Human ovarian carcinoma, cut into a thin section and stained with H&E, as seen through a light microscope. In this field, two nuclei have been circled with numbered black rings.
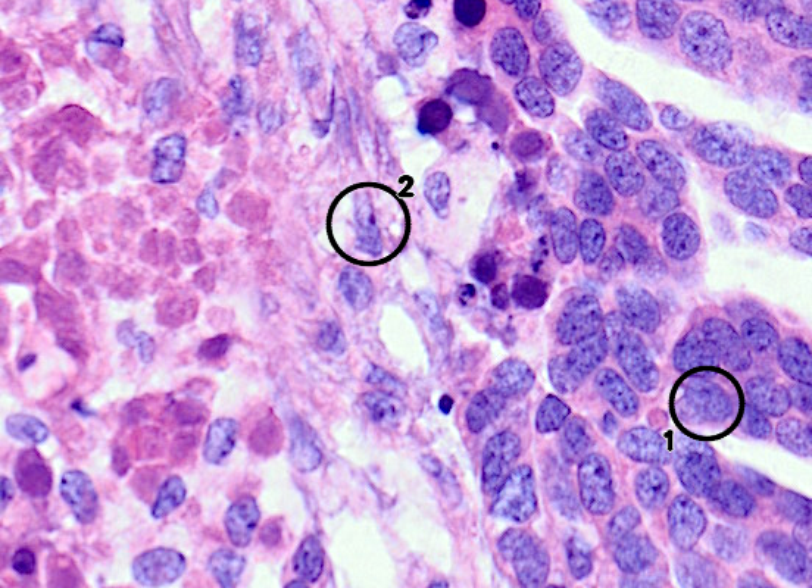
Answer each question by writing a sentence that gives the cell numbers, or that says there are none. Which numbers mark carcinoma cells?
Within the set of numbered cells, only number 1 is a carcinoma cell.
